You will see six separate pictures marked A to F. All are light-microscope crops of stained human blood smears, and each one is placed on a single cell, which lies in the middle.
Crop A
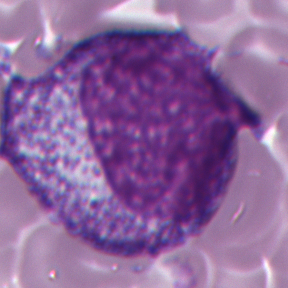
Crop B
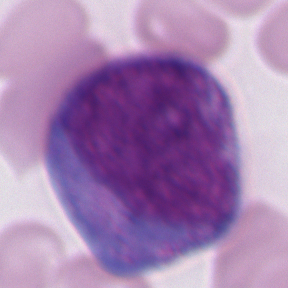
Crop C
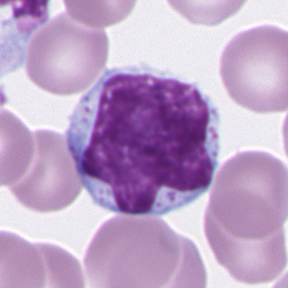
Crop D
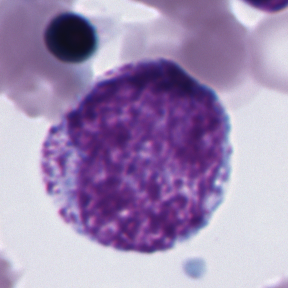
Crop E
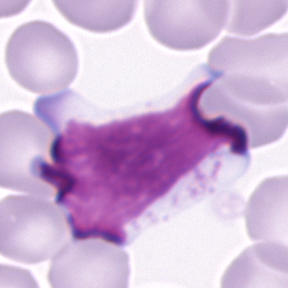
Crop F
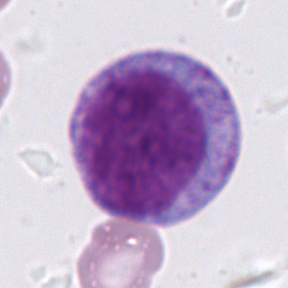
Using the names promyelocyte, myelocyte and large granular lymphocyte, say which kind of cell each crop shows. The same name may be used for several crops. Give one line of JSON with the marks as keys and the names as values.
{"A": "promyelocyte", "B": "promyelocyte", "C": "large granular lymphocyte", "D": "promyelocyte", "E": "large granular lymphocyte", "F": "promyelocyte"}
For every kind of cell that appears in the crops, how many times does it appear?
promyelocyte: 4
large granular lymphocyte: 2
